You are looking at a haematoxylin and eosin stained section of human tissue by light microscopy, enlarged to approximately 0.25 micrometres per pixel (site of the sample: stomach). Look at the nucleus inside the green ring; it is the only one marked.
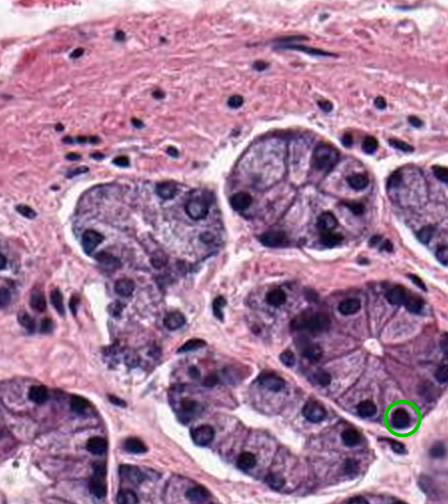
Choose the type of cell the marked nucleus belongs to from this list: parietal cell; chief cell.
chief cell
